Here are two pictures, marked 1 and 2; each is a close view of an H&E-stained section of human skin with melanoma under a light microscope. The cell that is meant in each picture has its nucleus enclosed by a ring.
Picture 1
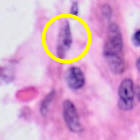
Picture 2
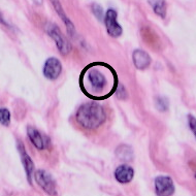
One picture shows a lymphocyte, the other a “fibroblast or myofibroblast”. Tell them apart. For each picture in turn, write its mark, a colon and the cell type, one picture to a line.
1: fibroblast or myofibroblast
2: lymphocyte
